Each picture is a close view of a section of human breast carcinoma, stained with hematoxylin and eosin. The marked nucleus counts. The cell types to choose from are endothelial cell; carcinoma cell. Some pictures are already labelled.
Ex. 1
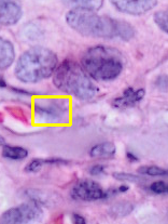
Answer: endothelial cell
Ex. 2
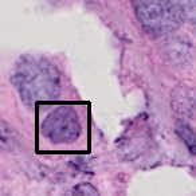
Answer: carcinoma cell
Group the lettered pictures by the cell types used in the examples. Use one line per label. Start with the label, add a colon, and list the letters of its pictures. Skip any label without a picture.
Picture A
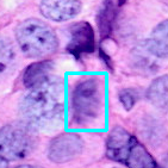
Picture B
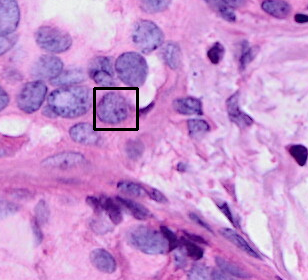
carcinoma cell: A, B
